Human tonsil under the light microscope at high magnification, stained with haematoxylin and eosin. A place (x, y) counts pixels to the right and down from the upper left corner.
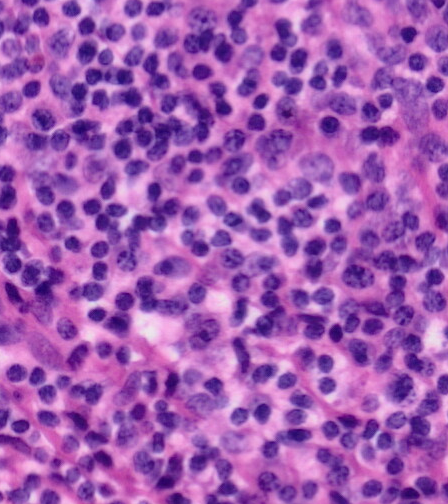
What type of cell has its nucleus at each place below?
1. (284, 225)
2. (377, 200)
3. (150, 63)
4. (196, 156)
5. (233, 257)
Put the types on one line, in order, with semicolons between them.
small lymphocyte; plasma cell; small lymphocyte; small lymphocyte; plasma cell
